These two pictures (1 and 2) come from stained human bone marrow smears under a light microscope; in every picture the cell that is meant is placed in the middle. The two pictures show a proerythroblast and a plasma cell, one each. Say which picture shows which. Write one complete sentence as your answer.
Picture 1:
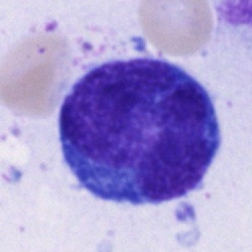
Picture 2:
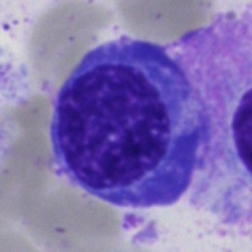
The cell in picture 1 is a proerythroblast, and the one in picture 2 is a plasma cell.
